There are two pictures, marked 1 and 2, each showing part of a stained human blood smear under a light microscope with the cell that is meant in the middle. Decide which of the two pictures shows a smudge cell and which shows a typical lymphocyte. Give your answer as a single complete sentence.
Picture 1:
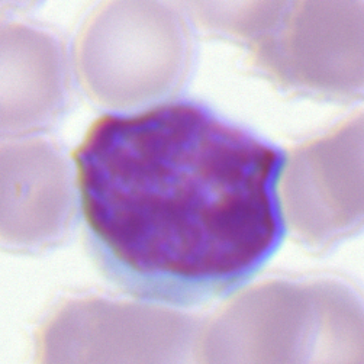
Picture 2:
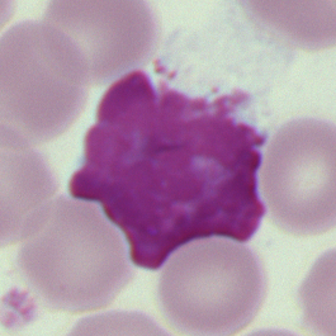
In picture 1 the cell is a typical lymphocyte; in picture 2, a smudge cell.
